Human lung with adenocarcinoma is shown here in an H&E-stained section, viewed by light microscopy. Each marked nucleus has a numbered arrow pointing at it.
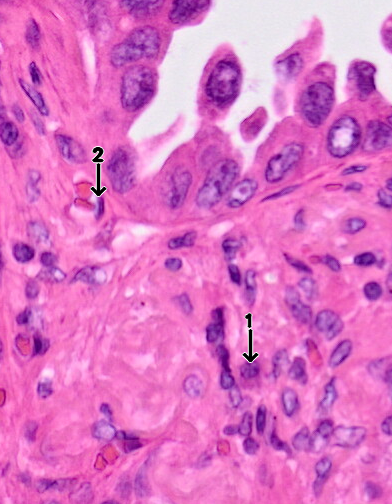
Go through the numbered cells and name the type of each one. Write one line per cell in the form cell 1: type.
cell 1: plasma cell
cell 2: endothelial cell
